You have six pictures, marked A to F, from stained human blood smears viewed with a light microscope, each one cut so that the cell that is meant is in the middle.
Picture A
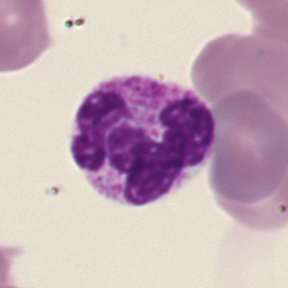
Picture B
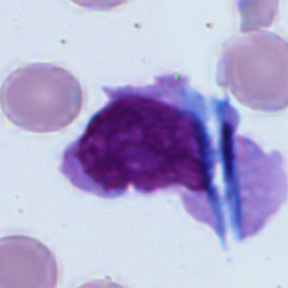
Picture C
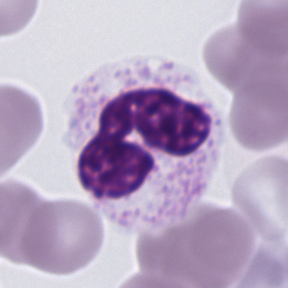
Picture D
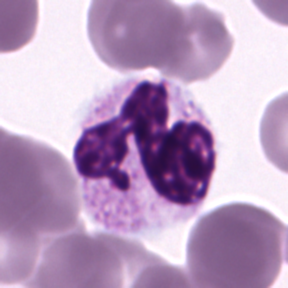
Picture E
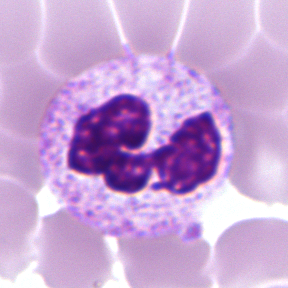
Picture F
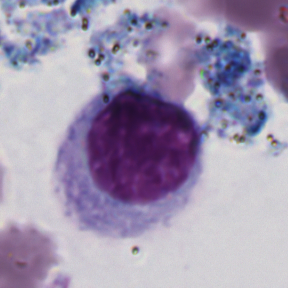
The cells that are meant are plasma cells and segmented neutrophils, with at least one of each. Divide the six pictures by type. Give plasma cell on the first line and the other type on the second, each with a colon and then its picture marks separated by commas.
plasma cell: B, F
segmented neutrophil: A, C, D, E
